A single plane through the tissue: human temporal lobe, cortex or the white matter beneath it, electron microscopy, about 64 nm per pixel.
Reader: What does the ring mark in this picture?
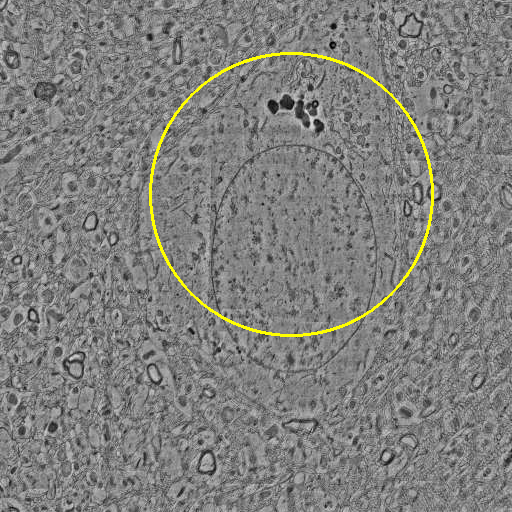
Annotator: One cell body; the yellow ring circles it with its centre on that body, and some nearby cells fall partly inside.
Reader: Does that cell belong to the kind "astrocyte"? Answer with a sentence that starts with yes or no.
No, the cell at the ring's centre in this picture is of another kind.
